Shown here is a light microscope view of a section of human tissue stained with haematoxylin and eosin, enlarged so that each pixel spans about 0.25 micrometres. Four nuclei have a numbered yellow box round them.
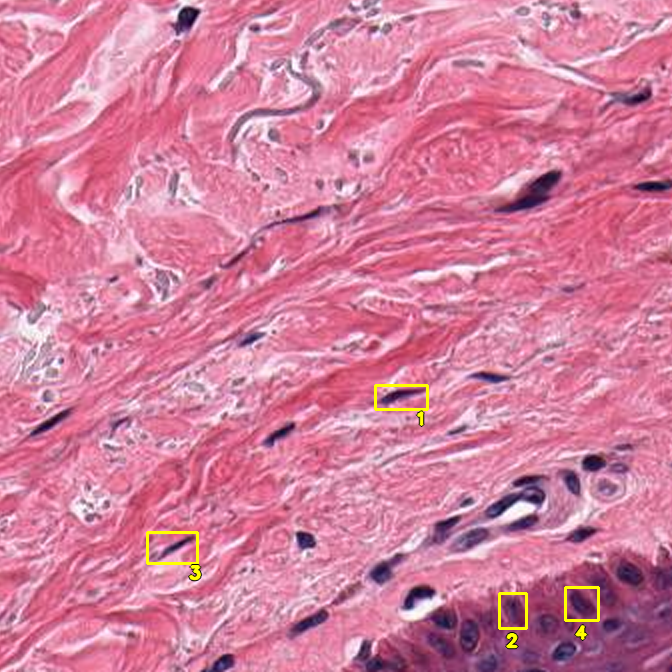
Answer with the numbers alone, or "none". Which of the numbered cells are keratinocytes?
2, 4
